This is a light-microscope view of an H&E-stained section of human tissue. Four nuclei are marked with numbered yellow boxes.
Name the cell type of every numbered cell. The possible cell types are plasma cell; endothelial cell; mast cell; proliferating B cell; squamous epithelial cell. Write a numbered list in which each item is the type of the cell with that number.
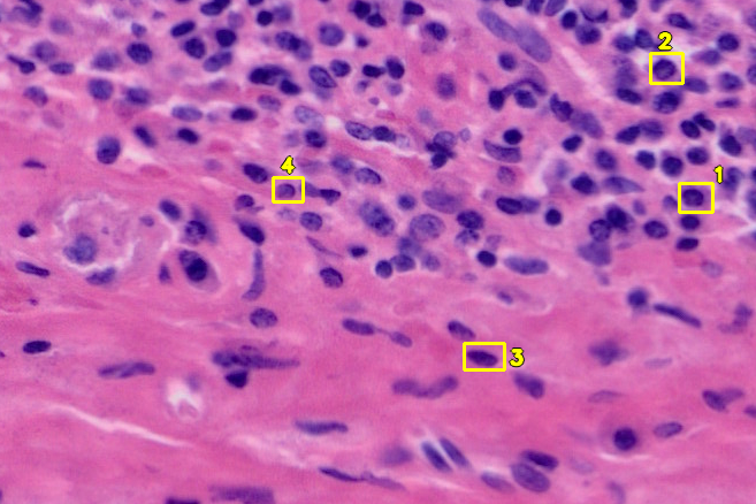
1. plasma cell
2. plasma cell
3. mast cell
4. mast cell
